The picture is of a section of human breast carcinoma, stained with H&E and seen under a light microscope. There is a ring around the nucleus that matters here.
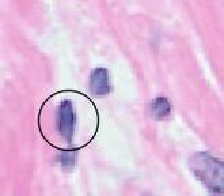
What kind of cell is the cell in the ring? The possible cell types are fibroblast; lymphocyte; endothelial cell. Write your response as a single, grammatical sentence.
In the stained section, the cell in the ring is a lymphocyte.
